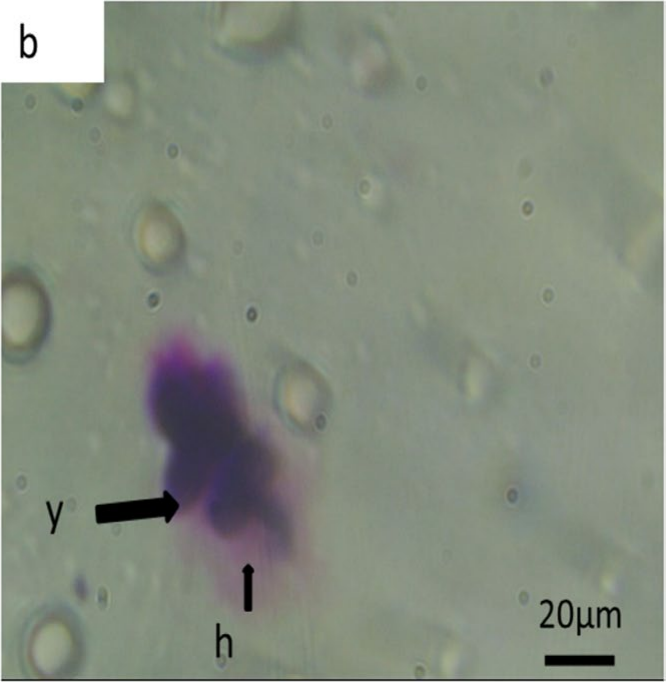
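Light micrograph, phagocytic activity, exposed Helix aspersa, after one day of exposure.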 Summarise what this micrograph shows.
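The yeast form an elongated, dark purple to almost black mass of overlapping rounded bodies. A faint pink rim of hemocyte cytoplasm borders the clump, especially along its lower edge. Round clear bubbles and tiny dots are scattered over the pale background around it.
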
